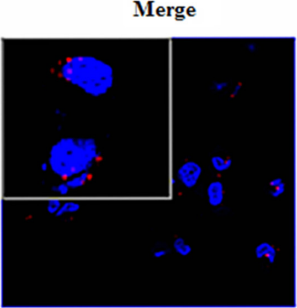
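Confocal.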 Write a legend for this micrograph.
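These are cultured cells seen by confocal fluorescence, with bright blue nuclei and only a few red dots. Only a handful of small red puncta lie at the edges of the nuclei. In the wider field, small scattered blue nuclei appear with occasional single red dots beside them.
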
